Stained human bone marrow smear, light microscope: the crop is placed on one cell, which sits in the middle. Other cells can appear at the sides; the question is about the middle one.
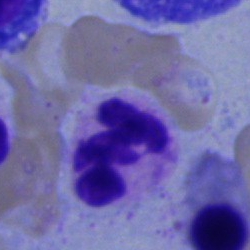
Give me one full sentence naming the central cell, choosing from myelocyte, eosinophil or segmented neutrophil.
The cell around which this crop is centred is a segmented neutrophil.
